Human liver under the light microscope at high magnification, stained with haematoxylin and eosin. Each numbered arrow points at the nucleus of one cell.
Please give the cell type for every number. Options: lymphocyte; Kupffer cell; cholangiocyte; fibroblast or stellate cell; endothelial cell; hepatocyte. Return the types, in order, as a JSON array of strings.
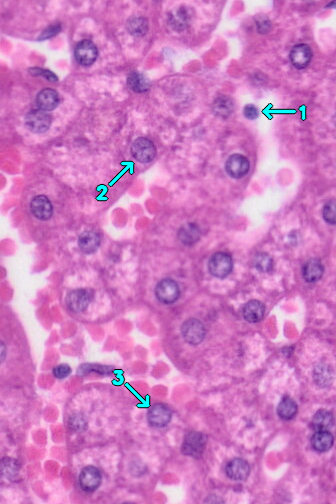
["lymphocyte", "hepatocyte", "hepatocyte"]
